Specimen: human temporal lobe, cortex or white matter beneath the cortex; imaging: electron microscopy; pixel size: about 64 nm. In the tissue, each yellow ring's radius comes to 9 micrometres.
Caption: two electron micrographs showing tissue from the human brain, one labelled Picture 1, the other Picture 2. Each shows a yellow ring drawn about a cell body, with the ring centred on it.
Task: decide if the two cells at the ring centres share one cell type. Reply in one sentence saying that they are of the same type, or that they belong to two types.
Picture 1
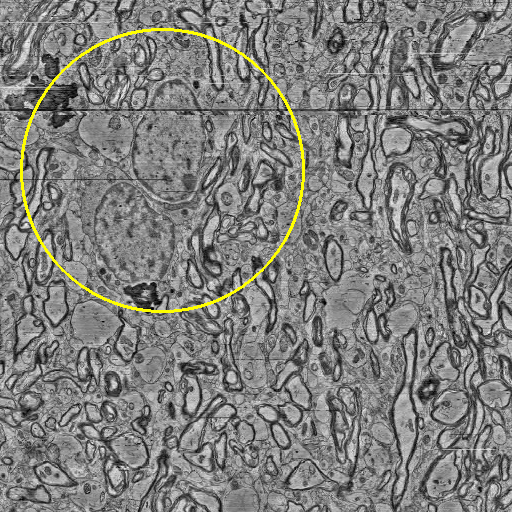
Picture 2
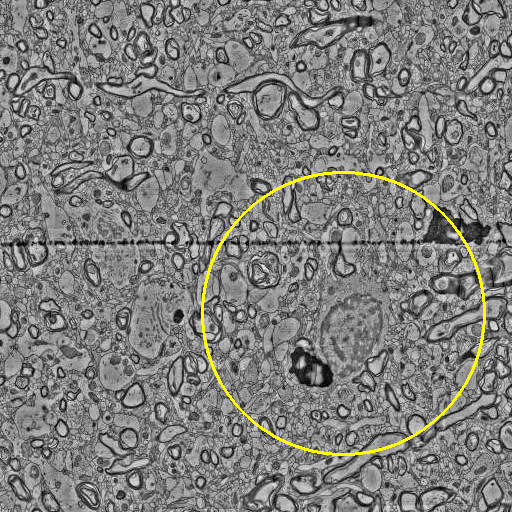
The cells at the ring centres in Picture 1 and Picture 2 belong to two types.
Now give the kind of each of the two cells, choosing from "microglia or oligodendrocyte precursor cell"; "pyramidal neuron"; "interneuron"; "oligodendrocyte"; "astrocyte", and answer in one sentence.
The cell in the first picture is a microglial cell or oligodendrocyte precursor cell, and the cell in the second is an oligodendrocyte.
